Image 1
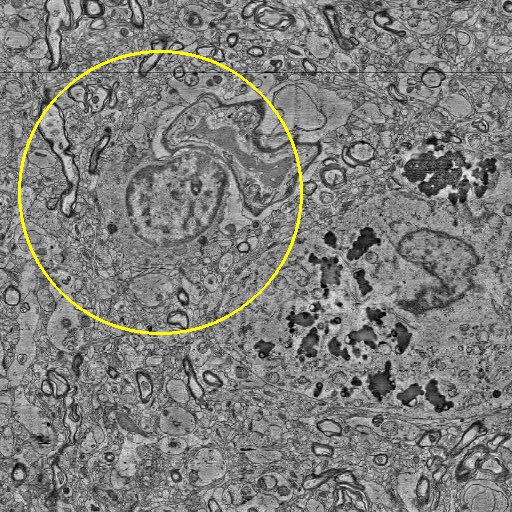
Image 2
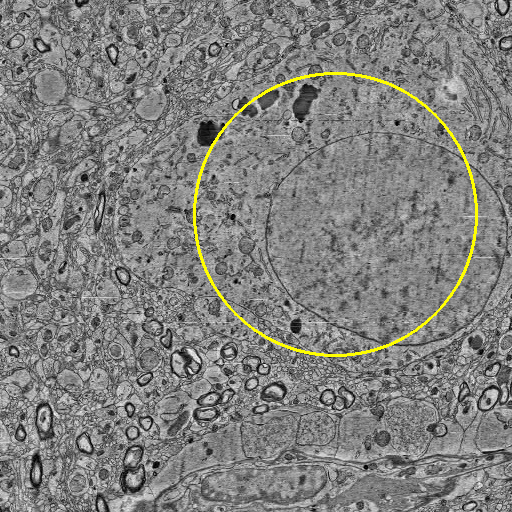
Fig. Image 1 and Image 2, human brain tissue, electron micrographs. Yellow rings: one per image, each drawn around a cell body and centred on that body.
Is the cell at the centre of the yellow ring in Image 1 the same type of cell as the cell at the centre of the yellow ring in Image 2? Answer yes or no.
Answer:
no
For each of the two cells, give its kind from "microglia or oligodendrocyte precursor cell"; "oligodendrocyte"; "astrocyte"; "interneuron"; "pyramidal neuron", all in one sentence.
The first picture has an oligodendrocyte in its ring, the second has a pyramidal neuron.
